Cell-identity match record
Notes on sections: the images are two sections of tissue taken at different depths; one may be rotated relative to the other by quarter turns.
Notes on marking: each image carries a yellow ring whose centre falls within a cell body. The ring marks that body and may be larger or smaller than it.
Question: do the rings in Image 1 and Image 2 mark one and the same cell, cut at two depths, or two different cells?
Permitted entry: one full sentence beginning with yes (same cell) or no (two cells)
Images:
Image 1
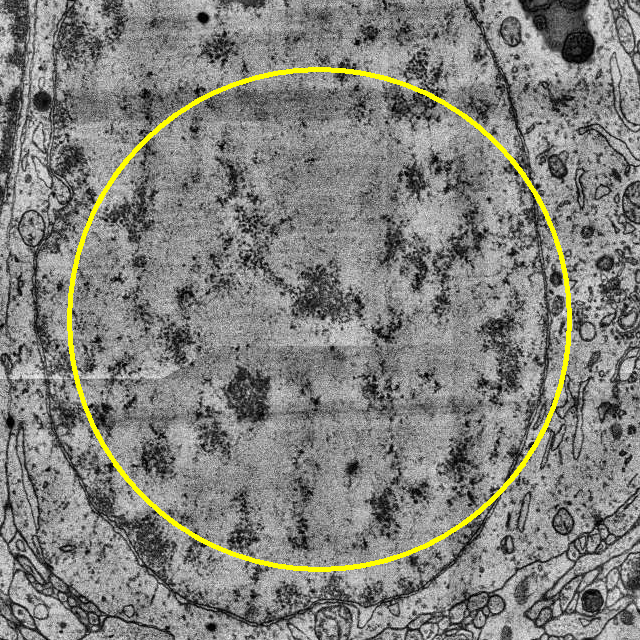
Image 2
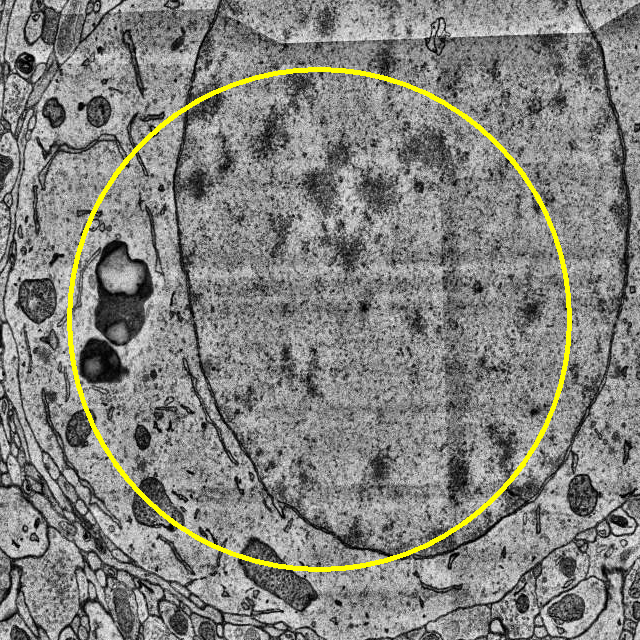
No, the two rings do not mark one cell; they mark two different cells.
